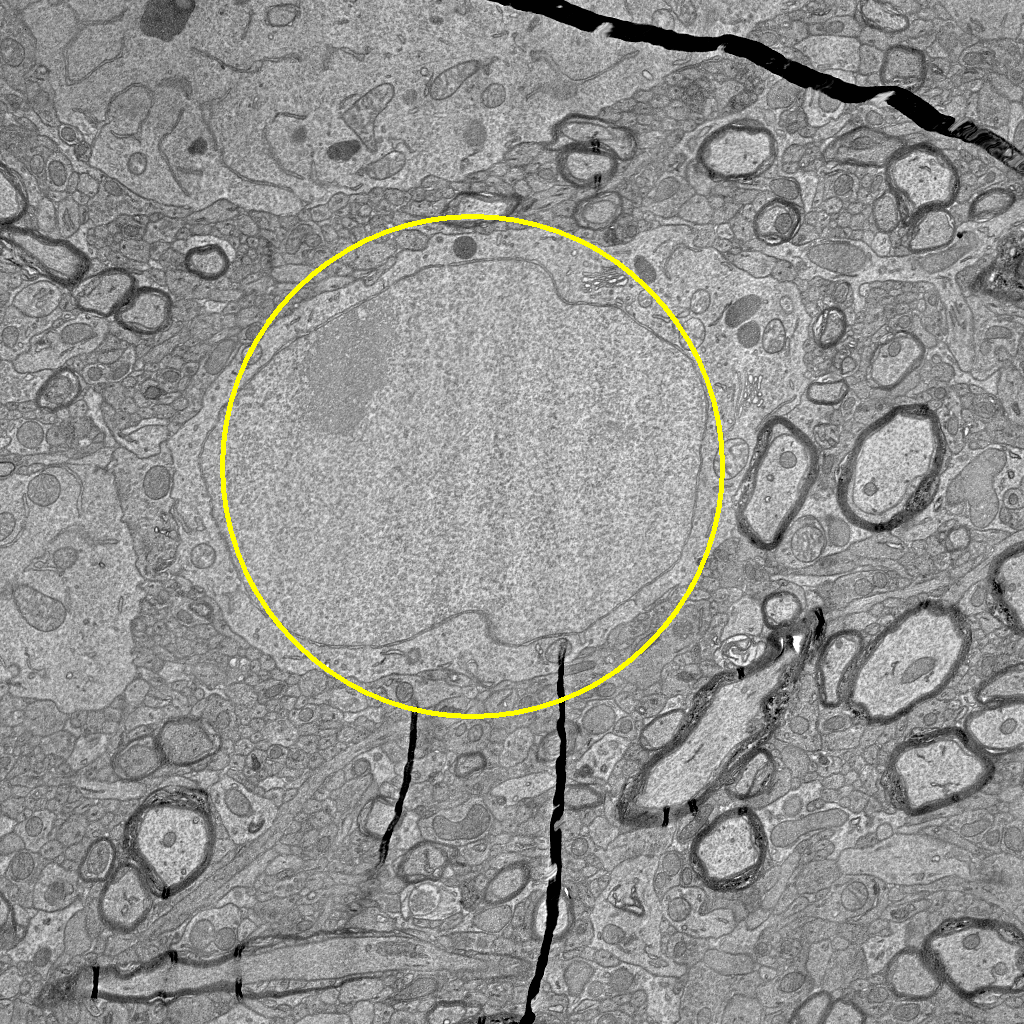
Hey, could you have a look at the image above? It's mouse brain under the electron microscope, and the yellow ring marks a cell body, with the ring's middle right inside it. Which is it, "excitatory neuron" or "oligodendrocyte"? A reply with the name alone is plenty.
excitatory neuron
